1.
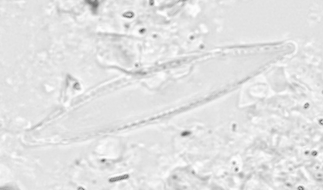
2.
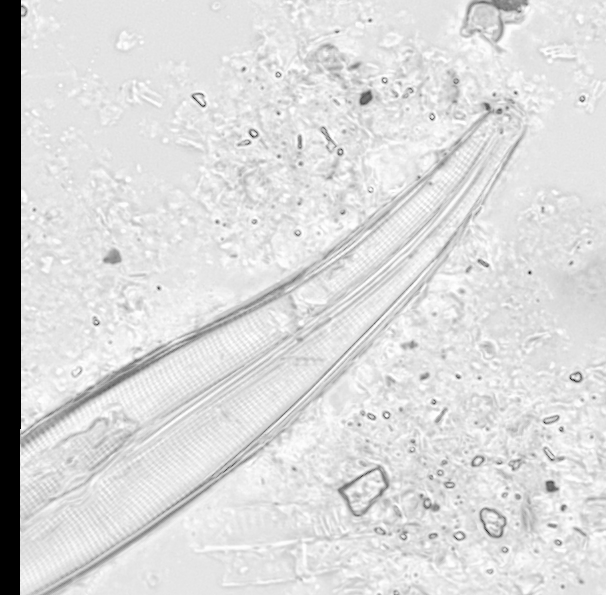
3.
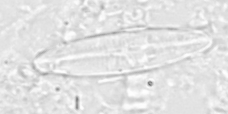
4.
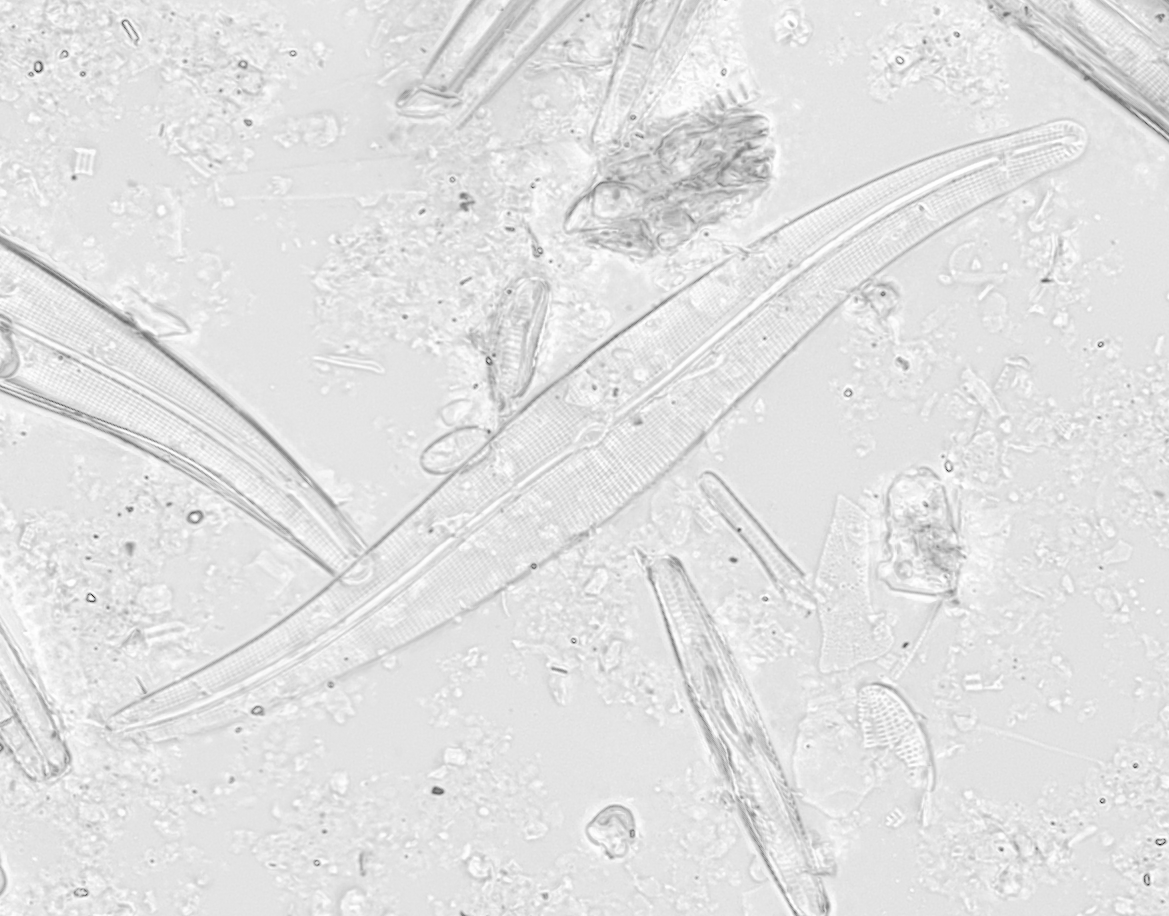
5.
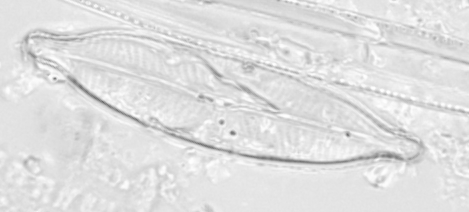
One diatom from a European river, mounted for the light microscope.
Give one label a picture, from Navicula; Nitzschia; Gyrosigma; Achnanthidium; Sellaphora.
Picture 1: Nitzschia
Picture 2: Gyrosigma
Picture 3: Achnanthidium
Picture 4: Gyrosigma
Picture 5: Navicula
